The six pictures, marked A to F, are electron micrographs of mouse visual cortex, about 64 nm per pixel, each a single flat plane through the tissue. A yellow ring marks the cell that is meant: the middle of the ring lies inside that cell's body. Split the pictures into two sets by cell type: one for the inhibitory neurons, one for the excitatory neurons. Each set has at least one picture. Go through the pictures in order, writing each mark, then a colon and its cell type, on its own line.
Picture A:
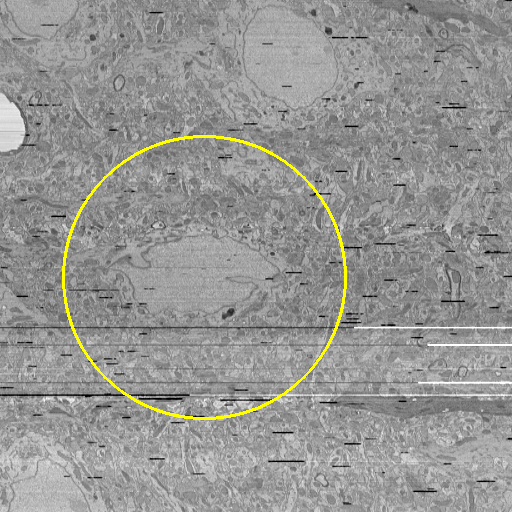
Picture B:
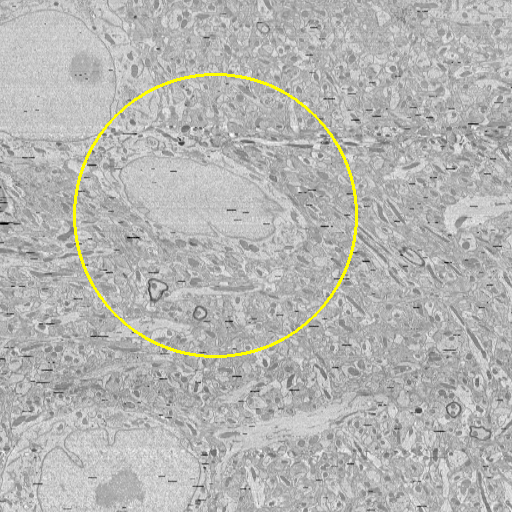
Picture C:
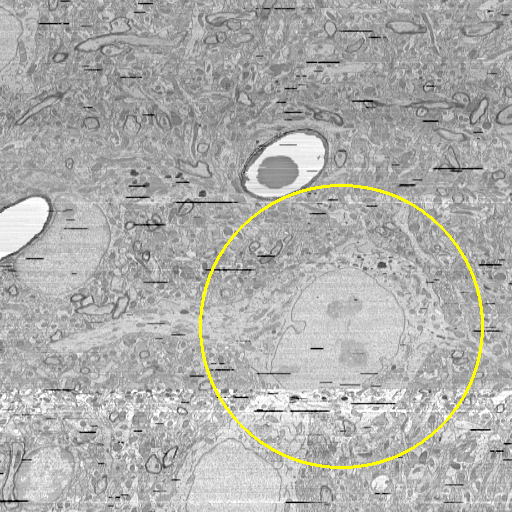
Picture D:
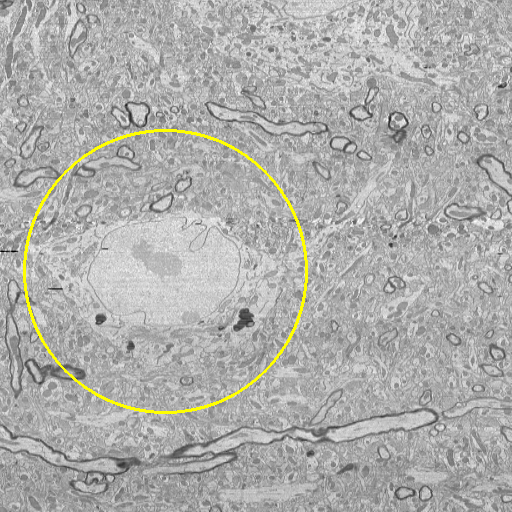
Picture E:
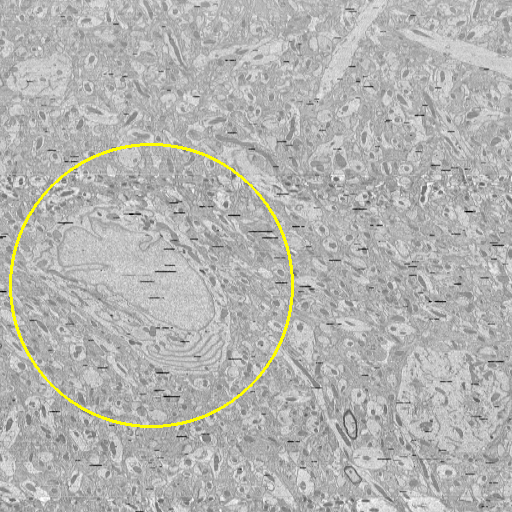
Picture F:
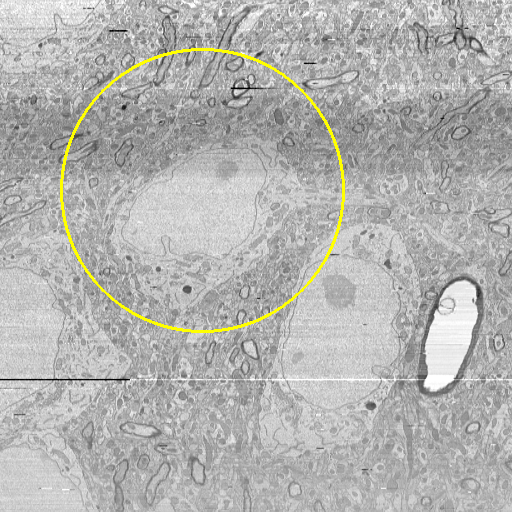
A: inhibitory neuron
B: inhibitory neuron
C: excitatory neuron
D: excitatory neuron
E: inhibitory neuron
F: excitatory neuron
